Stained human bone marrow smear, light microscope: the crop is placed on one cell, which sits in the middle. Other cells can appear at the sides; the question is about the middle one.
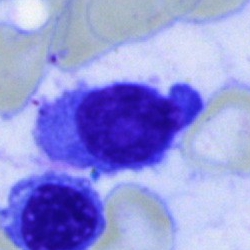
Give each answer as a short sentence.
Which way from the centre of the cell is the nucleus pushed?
The nucleus lies toward the right of the cell.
